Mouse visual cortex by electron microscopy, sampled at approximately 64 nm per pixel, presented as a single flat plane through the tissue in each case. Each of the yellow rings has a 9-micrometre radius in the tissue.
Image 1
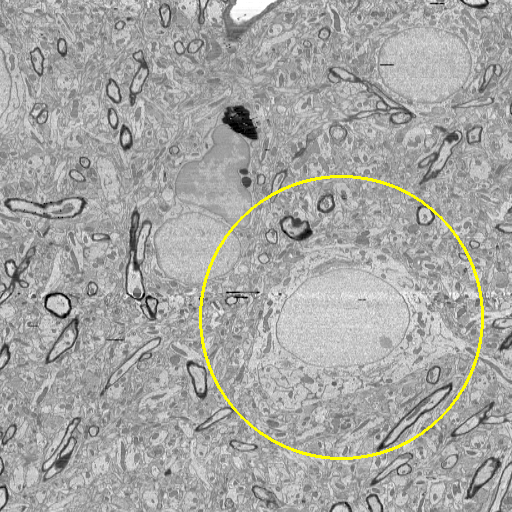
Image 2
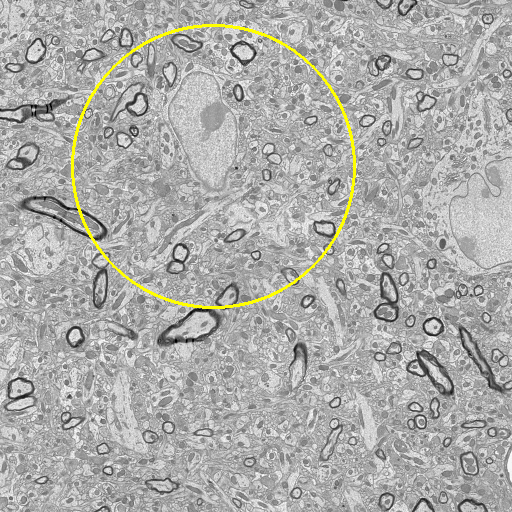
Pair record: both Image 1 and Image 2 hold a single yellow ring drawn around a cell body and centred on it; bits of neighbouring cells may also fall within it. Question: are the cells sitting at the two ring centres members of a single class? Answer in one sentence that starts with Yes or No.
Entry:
No, the ring-centre cells in Image 1 and Image 2 come from two classes.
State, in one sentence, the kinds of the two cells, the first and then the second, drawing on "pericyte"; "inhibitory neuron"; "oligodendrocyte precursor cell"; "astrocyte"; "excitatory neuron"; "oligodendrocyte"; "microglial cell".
The ring in the second picture is centred on an oligodendrocyte precursor cell, the ring in the first on an excitatory neuron.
